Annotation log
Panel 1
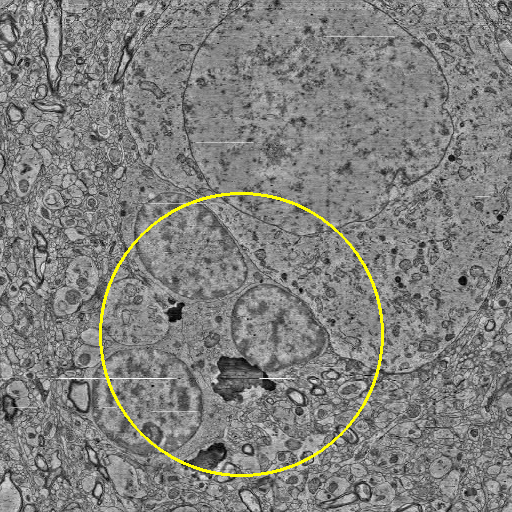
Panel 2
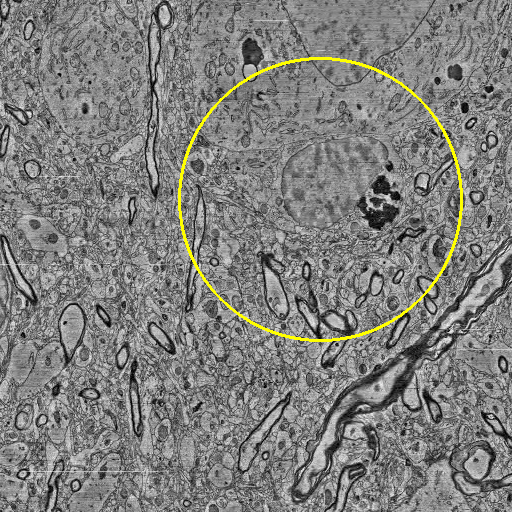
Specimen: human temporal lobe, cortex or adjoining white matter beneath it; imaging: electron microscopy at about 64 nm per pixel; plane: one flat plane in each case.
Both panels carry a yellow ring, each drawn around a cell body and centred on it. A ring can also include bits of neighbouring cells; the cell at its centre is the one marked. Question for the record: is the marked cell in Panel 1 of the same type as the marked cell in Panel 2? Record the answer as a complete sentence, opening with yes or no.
Yes, the marked cells in Panel 1 and Panel 2 are of the same type.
